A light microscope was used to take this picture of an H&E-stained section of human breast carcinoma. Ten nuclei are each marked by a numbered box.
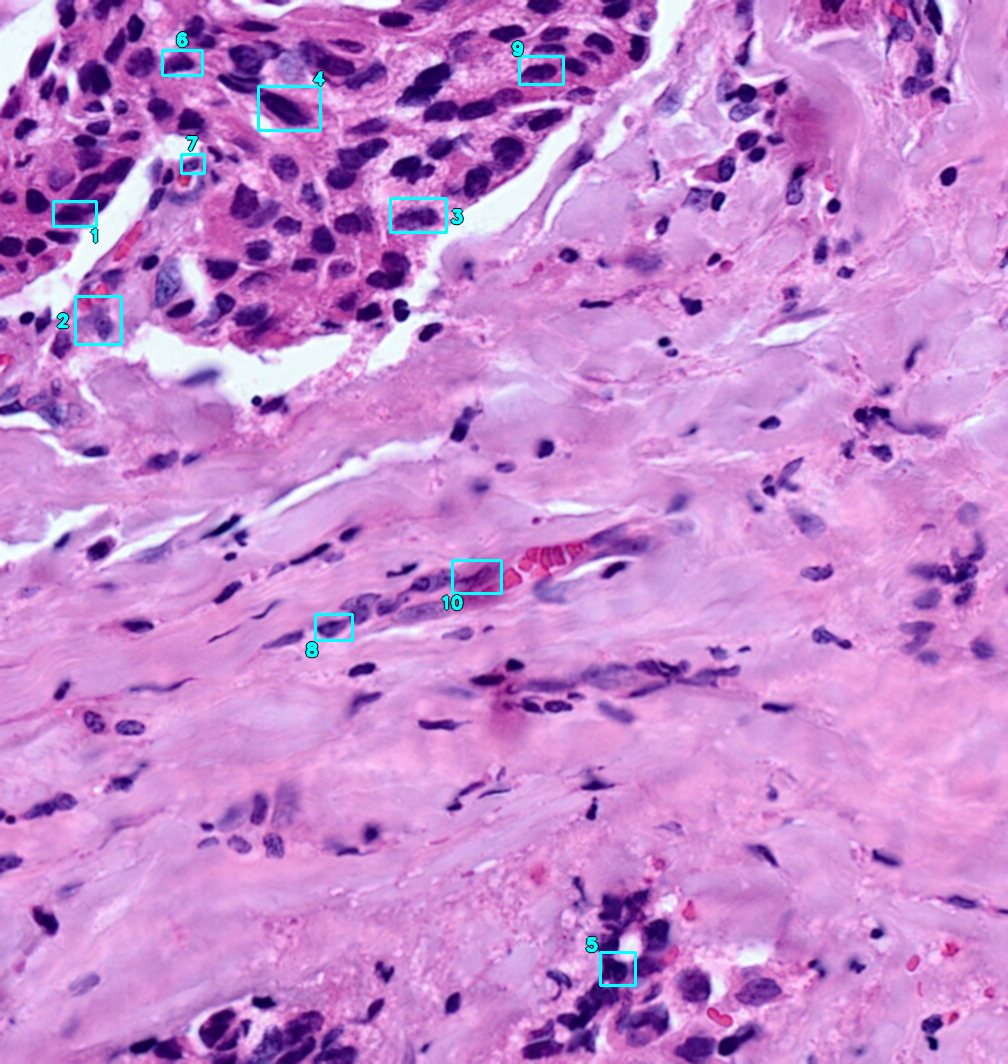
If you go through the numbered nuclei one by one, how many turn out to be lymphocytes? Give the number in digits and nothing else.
1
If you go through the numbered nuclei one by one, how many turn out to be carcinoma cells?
6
